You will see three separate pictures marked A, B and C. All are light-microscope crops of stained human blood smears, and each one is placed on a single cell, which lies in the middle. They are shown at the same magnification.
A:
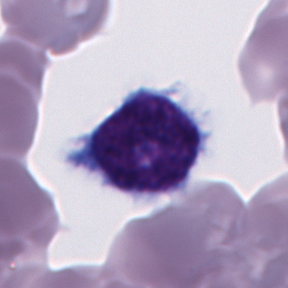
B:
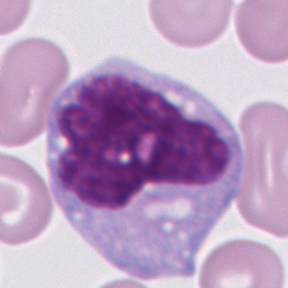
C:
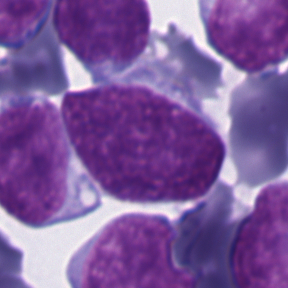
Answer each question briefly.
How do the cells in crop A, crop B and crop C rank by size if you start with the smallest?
A, C, B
